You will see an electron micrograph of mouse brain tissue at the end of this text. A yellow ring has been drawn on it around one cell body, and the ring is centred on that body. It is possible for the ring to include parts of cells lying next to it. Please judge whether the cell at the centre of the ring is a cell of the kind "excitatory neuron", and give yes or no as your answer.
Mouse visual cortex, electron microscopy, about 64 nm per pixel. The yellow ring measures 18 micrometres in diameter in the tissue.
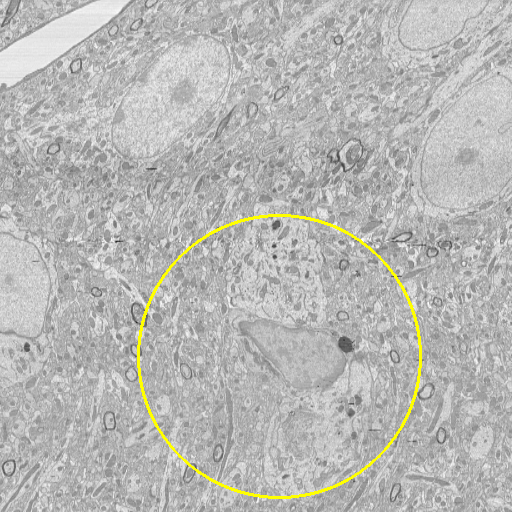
no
